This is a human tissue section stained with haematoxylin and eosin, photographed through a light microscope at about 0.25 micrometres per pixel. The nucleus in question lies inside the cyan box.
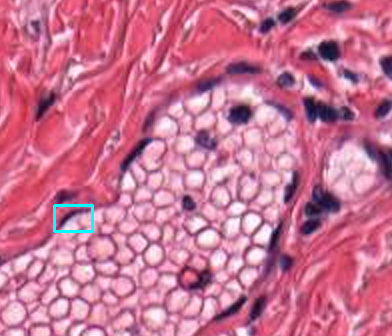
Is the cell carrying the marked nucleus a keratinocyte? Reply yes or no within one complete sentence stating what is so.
No, the marked nucleus is to be assigned to a supporting cell, not to a keratinocyte.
